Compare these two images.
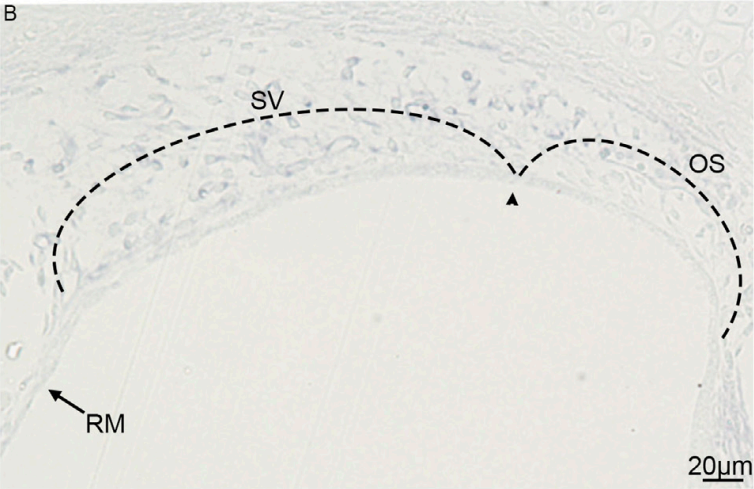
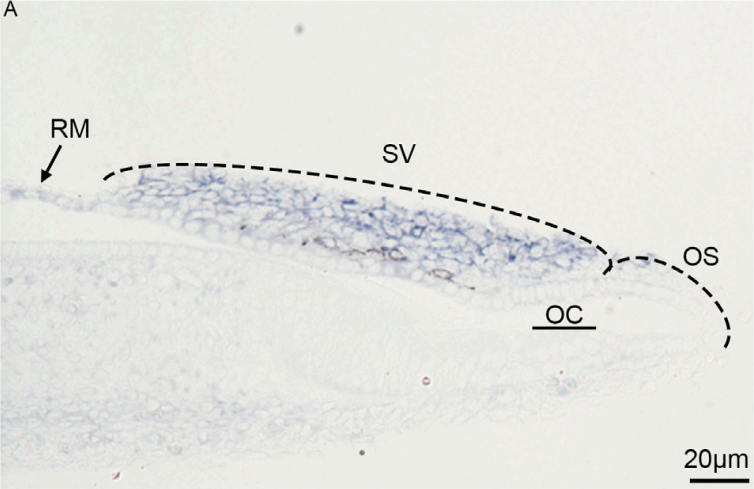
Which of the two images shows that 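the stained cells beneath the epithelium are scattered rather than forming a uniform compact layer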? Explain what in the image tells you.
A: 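First image: faint blue cells are spread loosely through a wide region above the bulging epithelium. Second image: blue-stained cells form a dense, evenly stained band under the epithelium. The answer: the first image.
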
